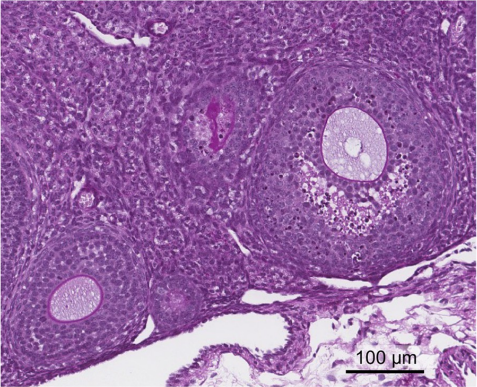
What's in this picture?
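This is ovarian tissue with growing follicles, each made of a central oocyte surrounded by several layers of small granulosa cells with dark purple nuclei. In the larger follicle the granulosa layers are thick and show scattered small clear spaces and dark fragments near the oocyte. The follicles are enclosed by flattened stromal cells and lie beside looser connective tissue at the ovarian surface.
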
